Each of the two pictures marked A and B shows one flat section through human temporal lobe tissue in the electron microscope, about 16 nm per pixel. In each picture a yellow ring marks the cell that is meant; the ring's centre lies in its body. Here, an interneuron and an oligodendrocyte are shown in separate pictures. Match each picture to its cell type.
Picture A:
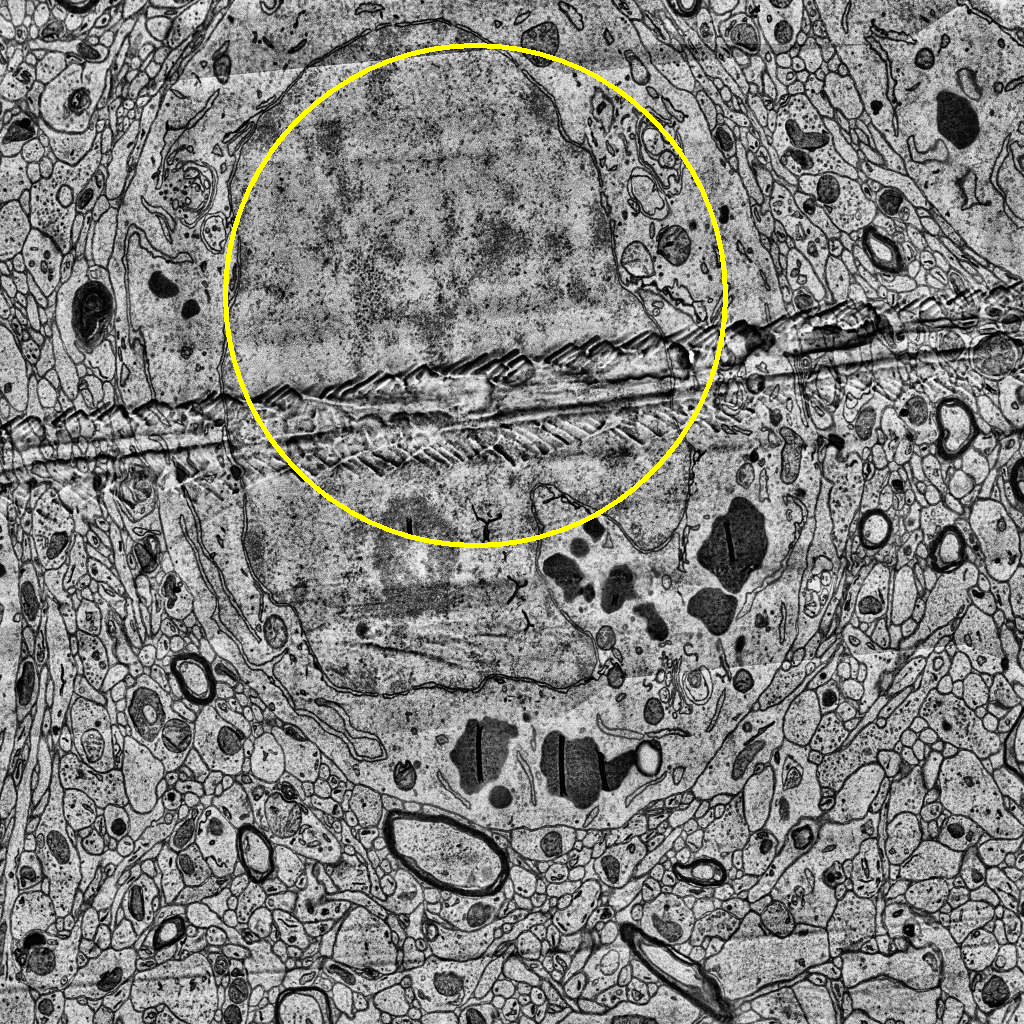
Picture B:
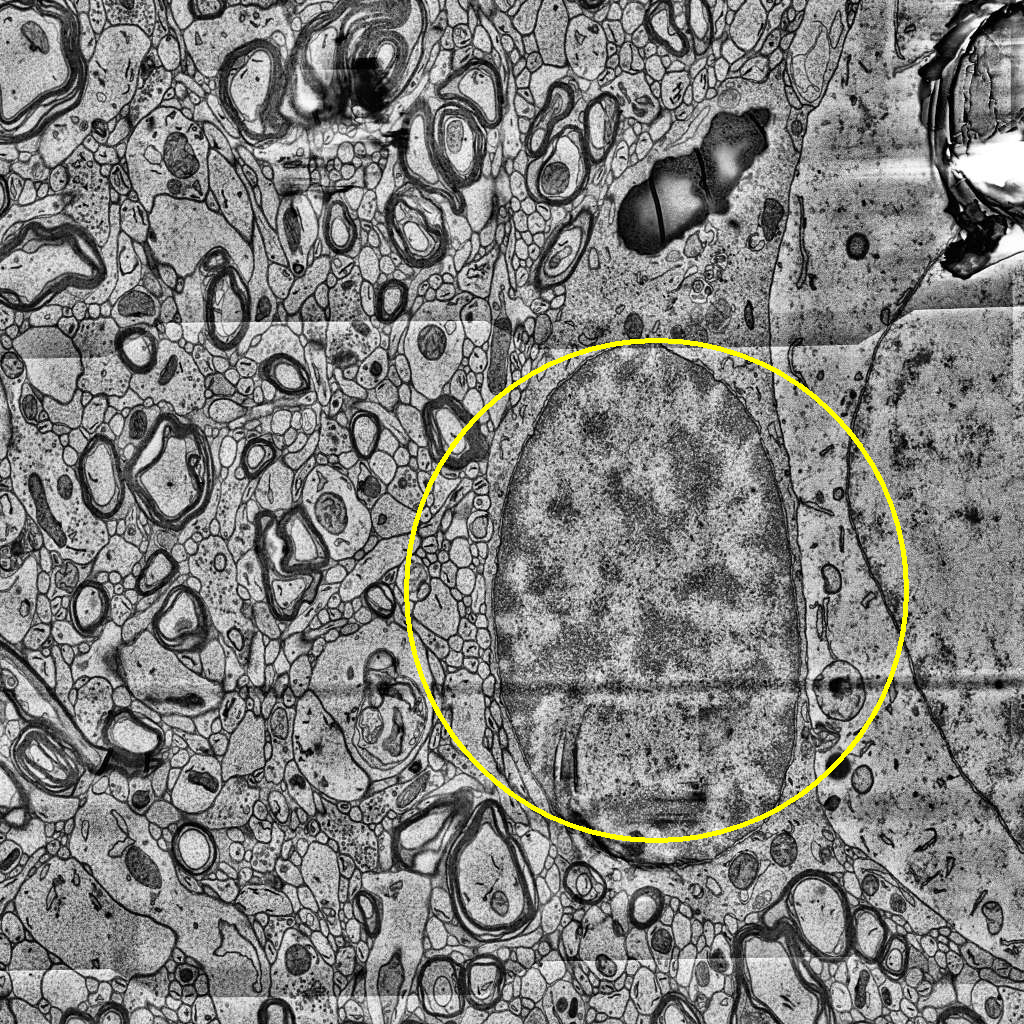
The cell in picture A is an interneuron, and the one in picture B is an oligodendrocyte.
